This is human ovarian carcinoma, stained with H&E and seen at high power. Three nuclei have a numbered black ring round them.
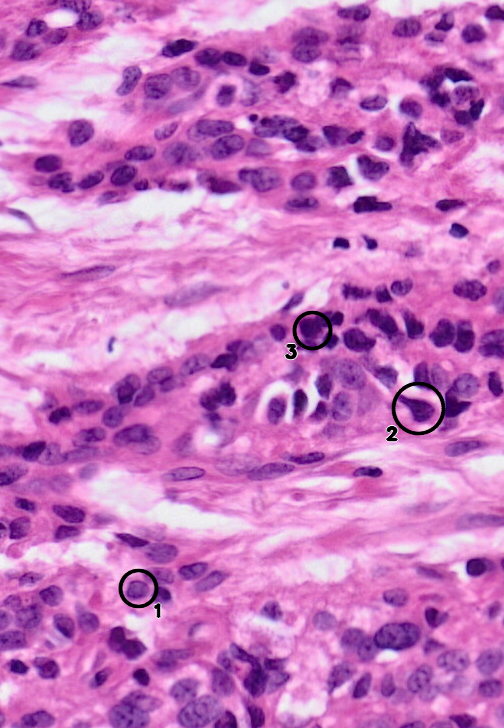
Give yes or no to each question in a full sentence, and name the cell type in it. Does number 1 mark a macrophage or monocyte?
Yes, regarding cell number 1, it is a macrophage or monocyte.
